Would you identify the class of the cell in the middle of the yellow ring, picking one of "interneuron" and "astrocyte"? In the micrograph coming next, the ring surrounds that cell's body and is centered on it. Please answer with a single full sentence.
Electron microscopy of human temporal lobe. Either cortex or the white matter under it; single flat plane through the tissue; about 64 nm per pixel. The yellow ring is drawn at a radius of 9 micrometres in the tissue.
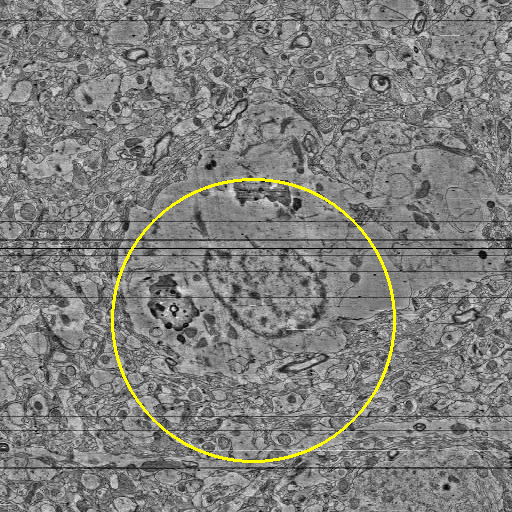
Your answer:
In the micrograph, it is an astrocyte whose body lies at the ring's center.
